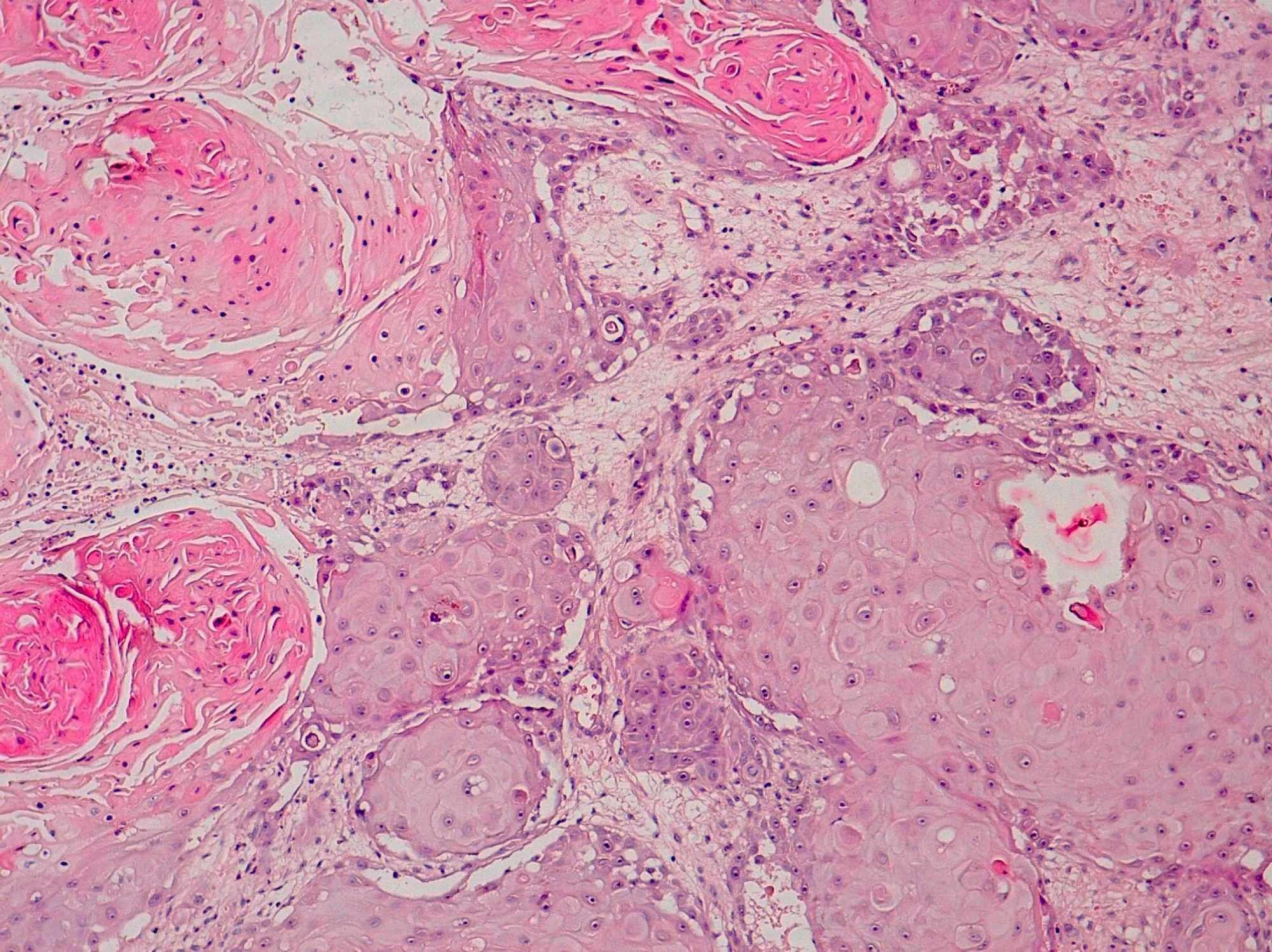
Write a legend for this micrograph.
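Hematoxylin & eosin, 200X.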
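This field shows nests of a carcinoma, rounded islands of epithelial tumour cells lying in a pale, loose stroma. The tumour cells are large and polygonal, with plentiful pink cytoplasm and round central nuclei, many of which show a distinct dark nucleolus. Several nests on the left hold centres of bright pink, layered material around which the cells are arranged concentrically. Between the nests, the stroma is loose and pale with scattered small dark nuclei of stromal and inflammatory cells.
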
